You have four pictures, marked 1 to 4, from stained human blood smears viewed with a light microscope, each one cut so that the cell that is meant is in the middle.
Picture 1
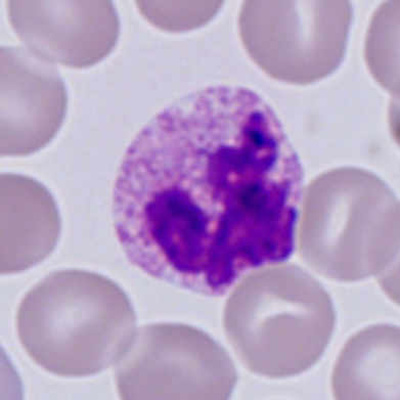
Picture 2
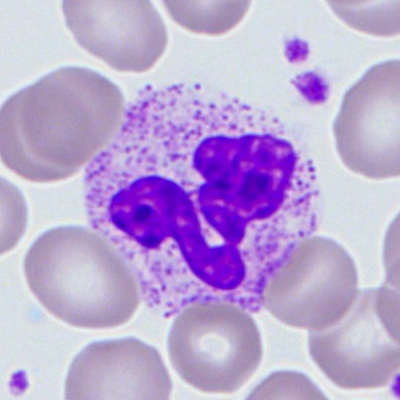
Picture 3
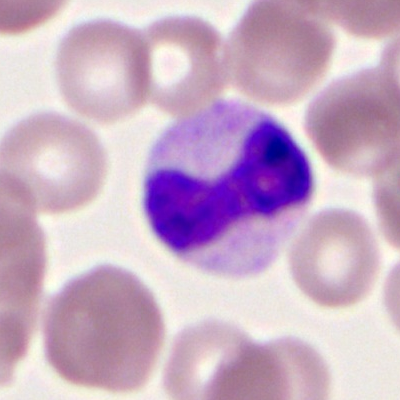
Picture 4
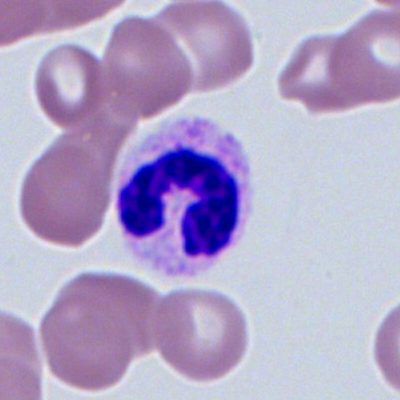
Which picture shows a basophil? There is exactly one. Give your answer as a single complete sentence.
The cell in picture 1 is the basophil.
